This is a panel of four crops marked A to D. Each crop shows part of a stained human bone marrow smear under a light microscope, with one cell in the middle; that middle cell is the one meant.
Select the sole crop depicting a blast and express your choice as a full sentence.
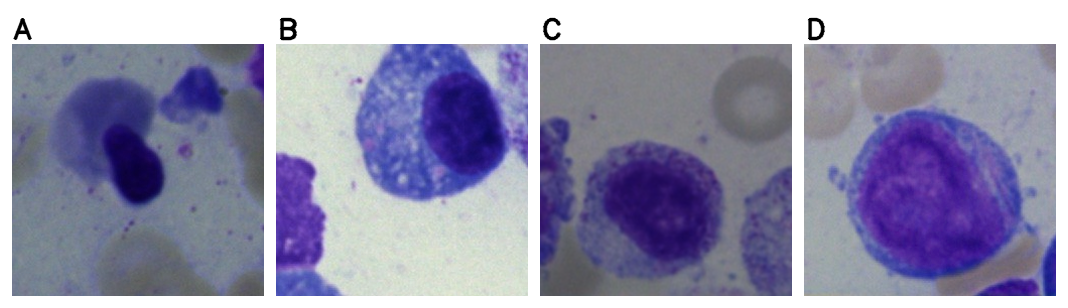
Crop D is where a blast is shown.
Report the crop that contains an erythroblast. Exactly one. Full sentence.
The crop with an erythroblast at its center is crop A.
